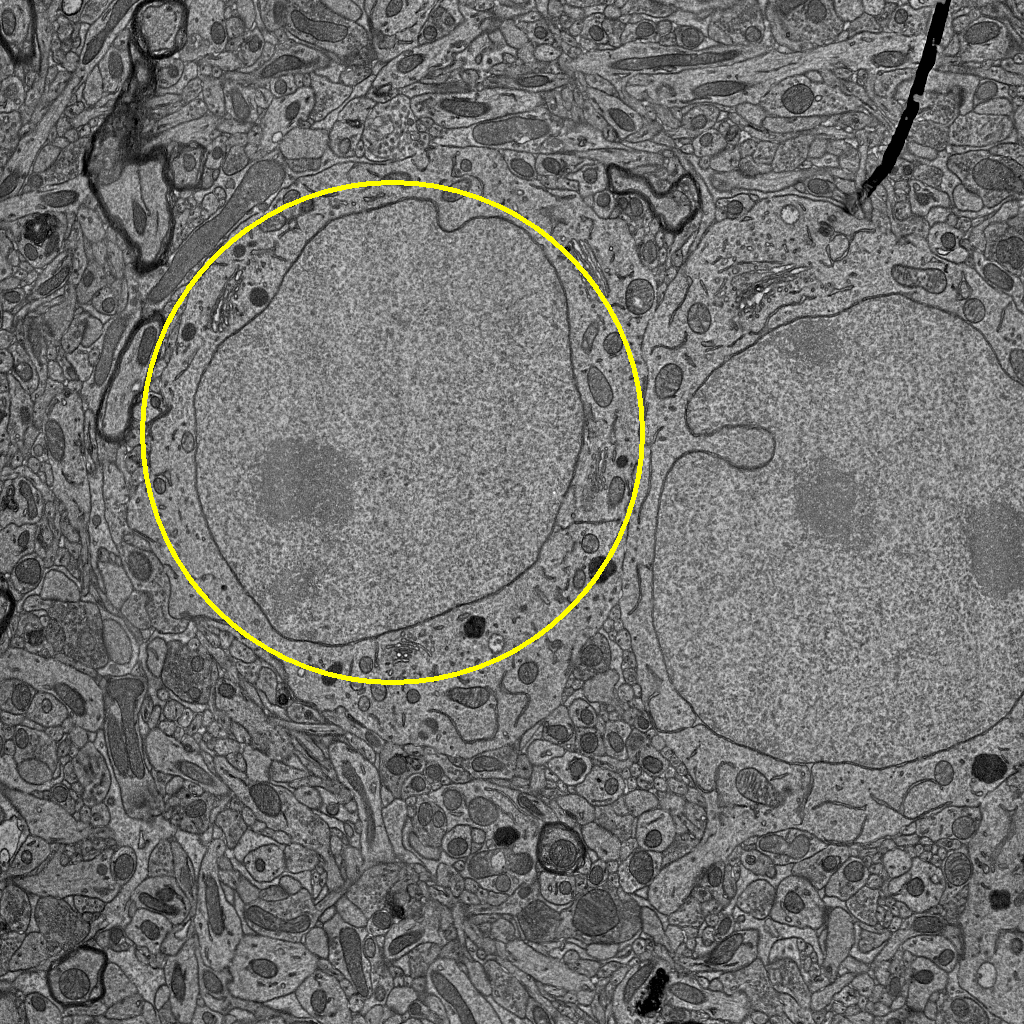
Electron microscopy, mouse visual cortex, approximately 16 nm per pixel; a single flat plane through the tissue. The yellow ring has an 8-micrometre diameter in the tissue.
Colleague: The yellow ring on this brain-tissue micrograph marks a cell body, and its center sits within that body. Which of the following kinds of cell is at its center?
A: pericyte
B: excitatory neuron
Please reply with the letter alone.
B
